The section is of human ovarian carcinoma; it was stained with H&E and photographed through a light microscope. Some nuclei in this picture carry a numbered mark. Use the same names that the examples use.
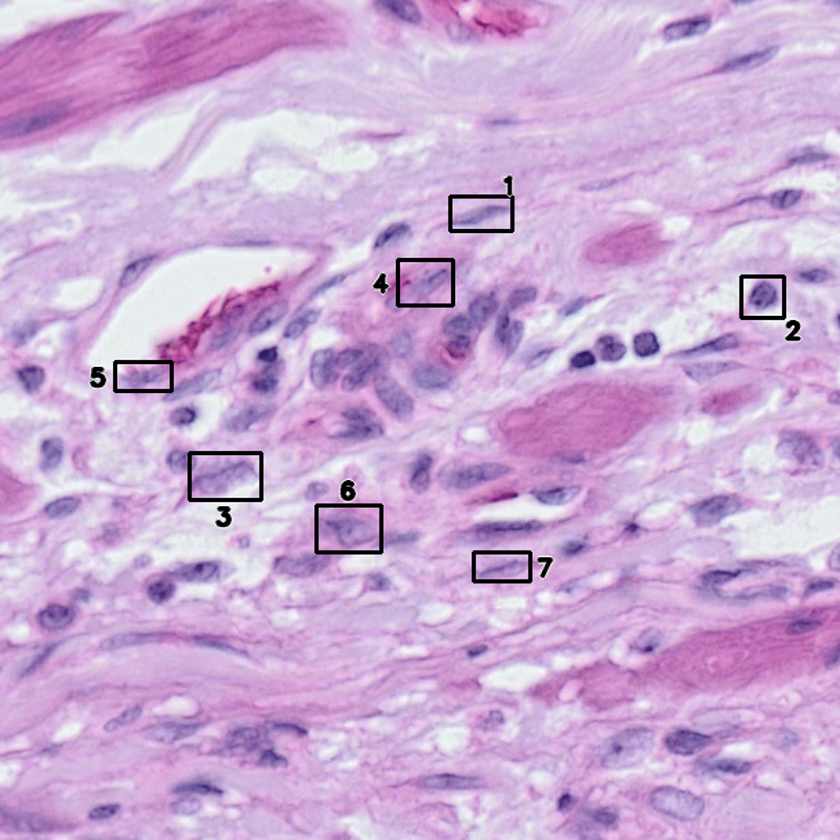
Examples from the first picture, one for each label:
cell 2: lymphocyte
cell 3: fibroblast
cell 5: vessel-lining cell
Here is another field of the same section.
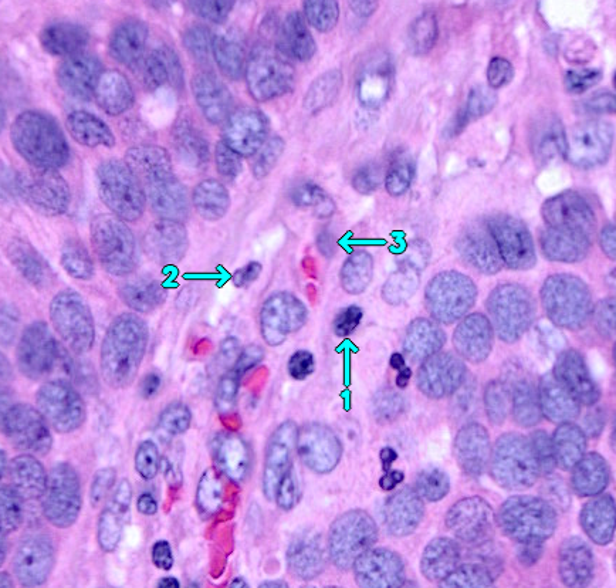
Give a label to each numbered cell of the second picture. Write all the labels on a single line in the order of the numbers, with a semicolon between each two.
lymphocyte; lymphocyte; vessel-lining cell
